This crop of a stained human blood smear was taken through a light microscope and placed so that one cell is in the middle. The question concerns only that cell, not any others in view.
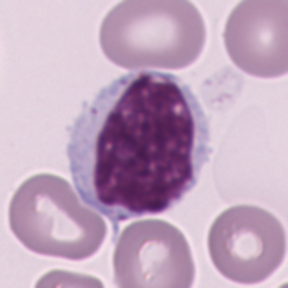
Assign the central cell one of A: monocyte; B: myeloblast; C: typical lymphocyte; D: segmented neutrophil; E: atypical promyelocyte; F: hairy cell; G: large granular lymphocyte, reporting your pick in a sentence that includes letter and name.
That middle cell is a large granular lymphocyte, and option G is therefore correct.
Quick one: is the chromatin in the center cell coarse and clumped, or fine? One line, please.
Heads up, the chromatin in this one is coarsely clumped.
